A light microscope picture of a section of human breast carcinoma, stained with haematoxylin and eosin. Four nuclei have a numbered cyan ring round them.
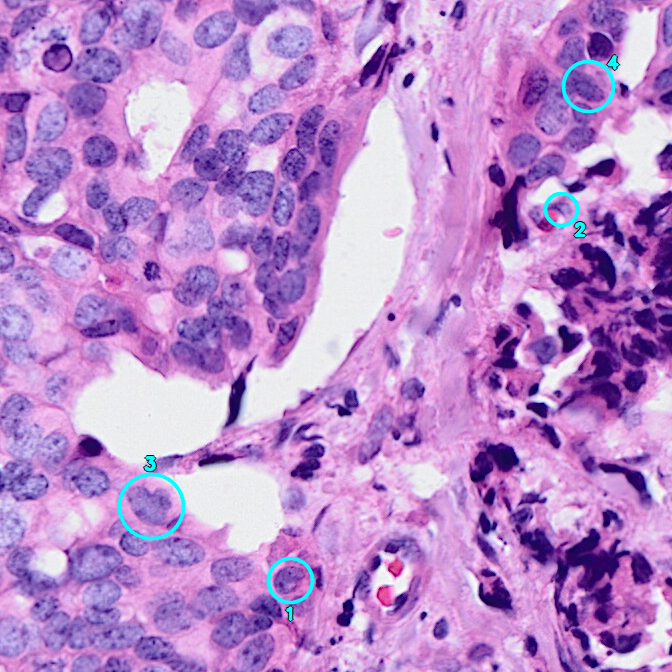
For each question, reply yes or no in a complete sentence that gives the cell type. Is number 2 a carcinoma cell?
No, the cell that carries number 2 is an endothelial cell, not a carcinoma cell.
